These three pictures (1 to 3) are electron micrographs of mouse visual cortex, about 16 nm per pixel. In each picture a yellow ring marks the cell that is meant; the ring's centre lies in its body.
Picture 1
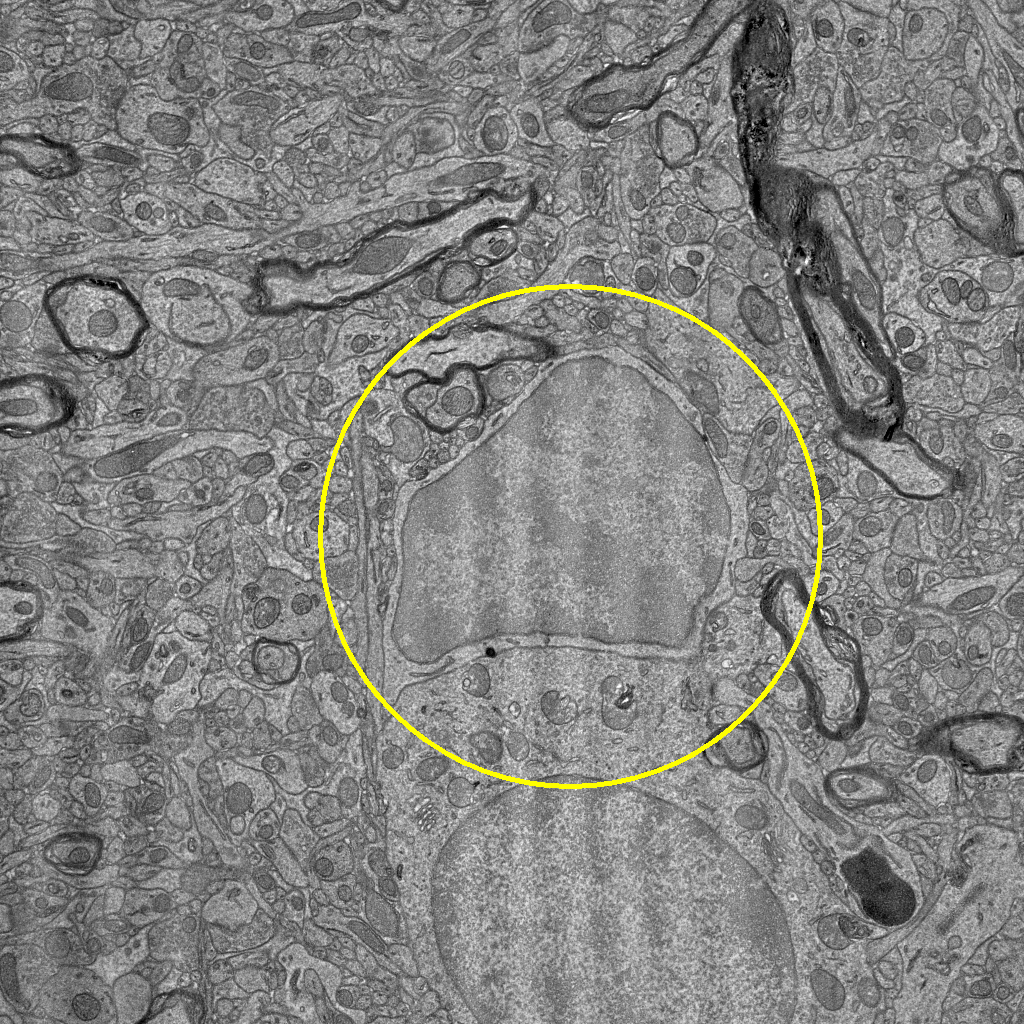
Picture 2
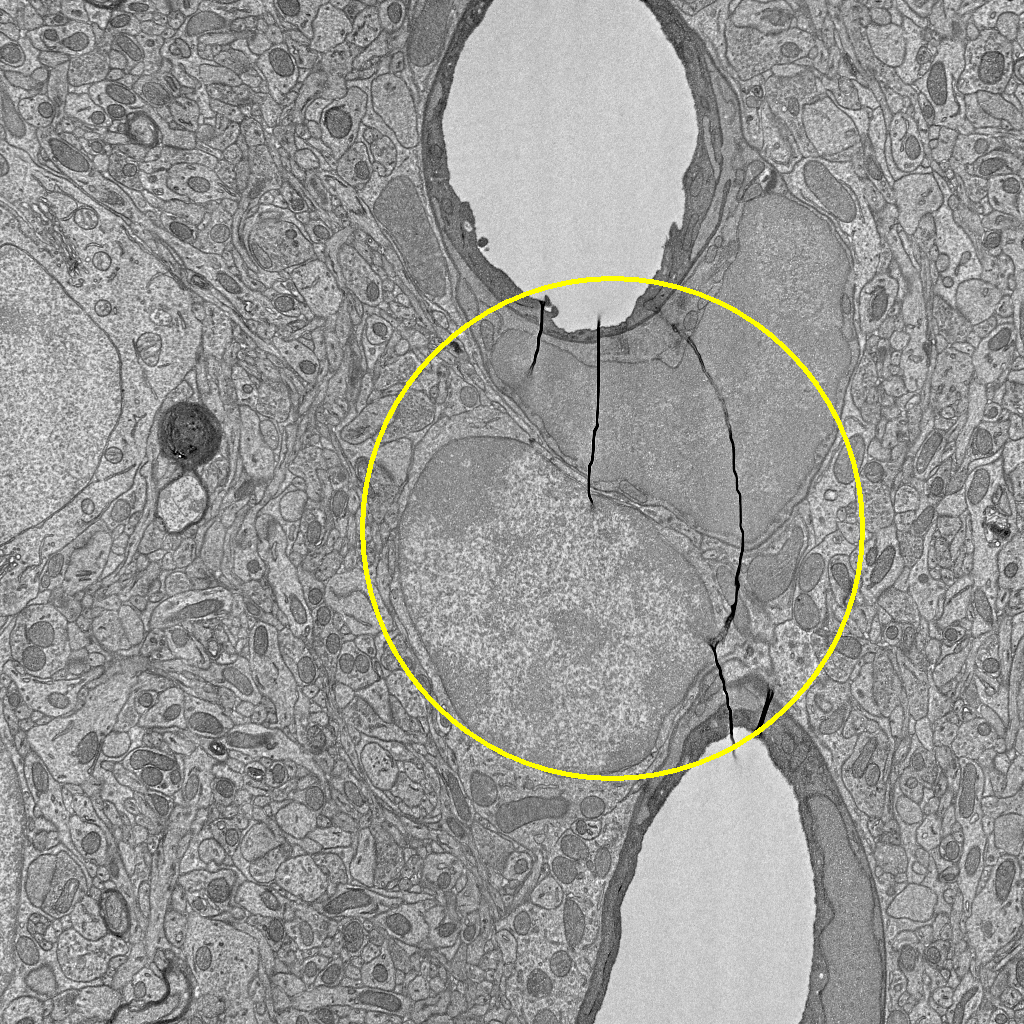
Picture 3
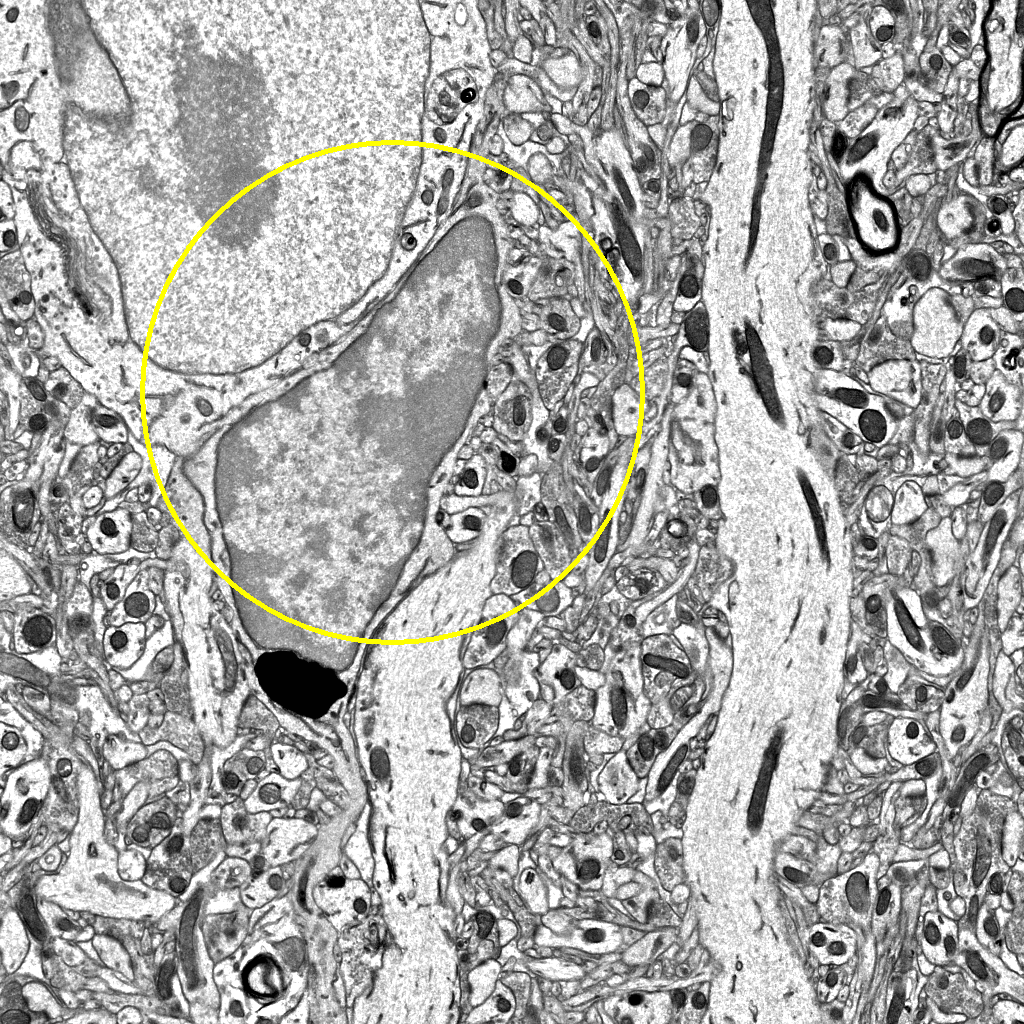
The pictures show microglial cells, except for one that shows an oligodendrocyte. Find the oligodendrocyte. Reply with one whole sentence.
Picture 2 is the one that shows the oligodendrocyte.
